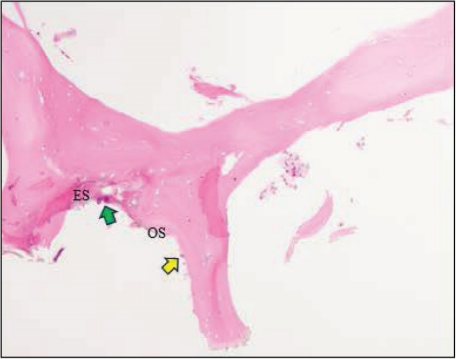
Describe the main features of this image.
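Here we see trabeculae of bone in an H&E section: branching pink struts of matrix separated by clear spaces. The struts contain only a few small dark dots. Along the lower edge of one strut, the surface is notched and irregular, and a small dark purple cluster sits right on it; this is where a bone-resorbing cell lies. A little further along the same surface, small purple dots line the bone, marking bone-forming cells. Compare the rough, scalloped stretch of surface with the smoother pink edges elsewhere on the struts. Small loose fragments of tissue float in the clear spaces.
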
